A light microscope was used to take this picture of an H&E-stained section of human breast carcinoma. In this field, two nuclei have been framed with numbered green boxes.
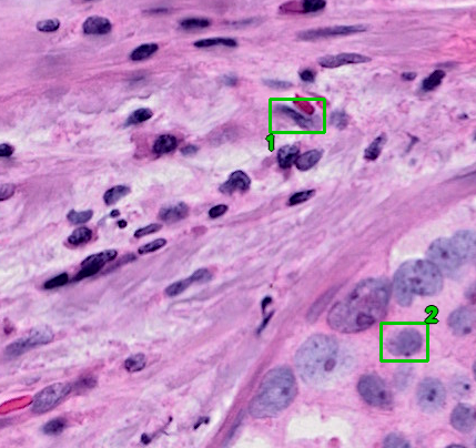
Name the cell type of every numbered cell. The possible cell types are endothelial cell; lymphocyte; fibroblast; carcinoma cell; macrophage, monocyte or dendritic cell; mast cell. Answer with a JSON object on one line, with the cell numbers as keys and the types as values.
{"1": "endothelial cell", "2": "carcinoma cell"}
